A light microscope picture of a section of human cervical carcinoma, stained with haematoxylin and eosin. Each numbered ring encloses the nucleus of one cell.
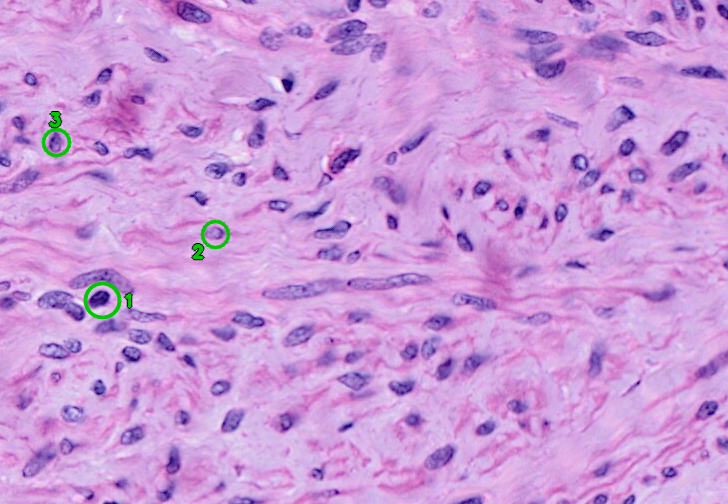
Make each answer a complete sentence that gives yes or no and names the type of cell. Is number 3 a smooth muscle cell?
Yes, the cell denoted by 3 is a smooth muscle cell.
